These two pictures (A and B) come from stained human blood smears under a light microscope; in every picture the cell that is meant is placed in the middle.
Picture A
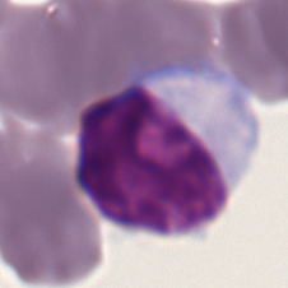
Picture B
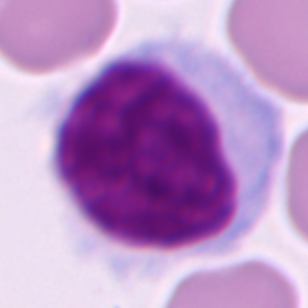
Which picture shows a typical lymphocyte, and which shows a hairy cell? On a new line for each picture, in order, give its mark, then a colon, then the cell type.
A: typical lymphocyte
B: hairy cell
